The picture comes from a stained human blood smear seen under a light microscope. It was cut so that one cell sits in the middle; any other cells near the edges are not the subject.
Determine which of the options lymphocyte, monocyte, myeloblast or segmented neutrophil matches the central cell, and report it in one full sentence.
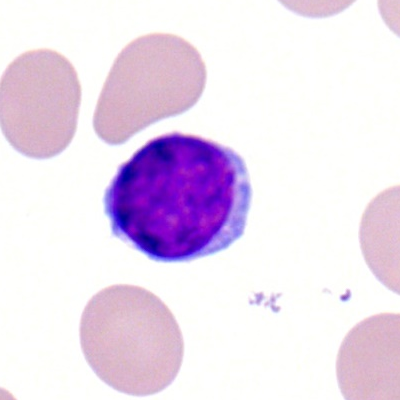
The cell at the heart of this crop is a lymphocyte.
